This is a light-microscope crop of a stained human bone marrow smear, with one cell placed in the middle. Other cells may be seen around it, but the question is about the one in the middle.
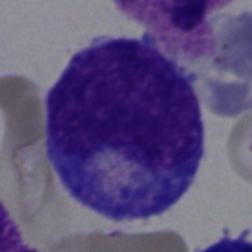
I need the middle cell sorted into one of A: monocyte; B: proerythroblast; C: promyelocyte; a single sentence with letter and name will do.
Option C is correct, and the cell in the centre is a promyelocyte.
